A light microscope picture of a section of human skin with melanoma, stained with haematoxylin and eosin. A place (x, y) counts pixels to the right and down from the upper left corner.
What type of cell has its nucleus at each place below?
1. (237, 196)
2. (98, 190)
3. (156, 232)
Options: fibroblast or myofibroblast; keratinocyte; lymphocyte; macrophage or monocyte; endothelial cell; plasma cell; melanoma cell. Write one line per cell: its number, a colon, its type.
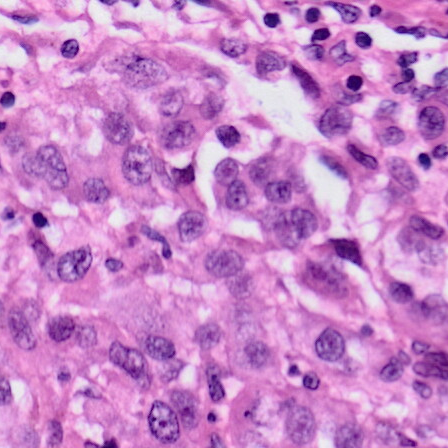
1: melanoma cell
2: melanoma cell
3: macrophage or monocyte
